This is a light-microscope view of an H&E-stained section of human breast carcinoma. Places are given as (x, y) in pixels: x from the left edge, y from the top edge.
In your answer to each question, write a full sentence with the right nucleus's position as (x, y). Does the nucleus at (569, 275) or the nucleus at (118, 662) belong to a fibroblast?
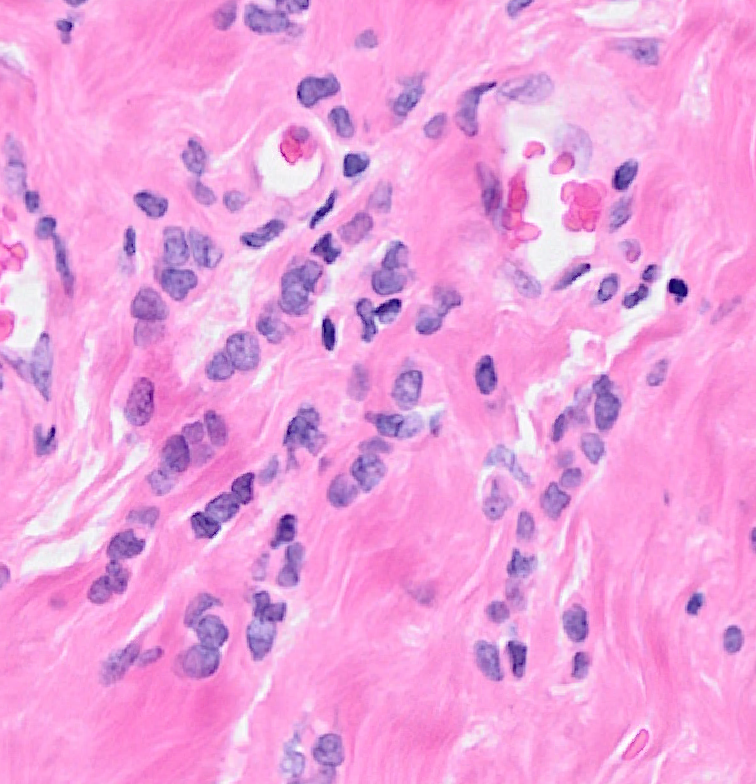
The nucleus at (118, 662) belongs to a fibroblast, which distinguishes it from the other nucleus.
